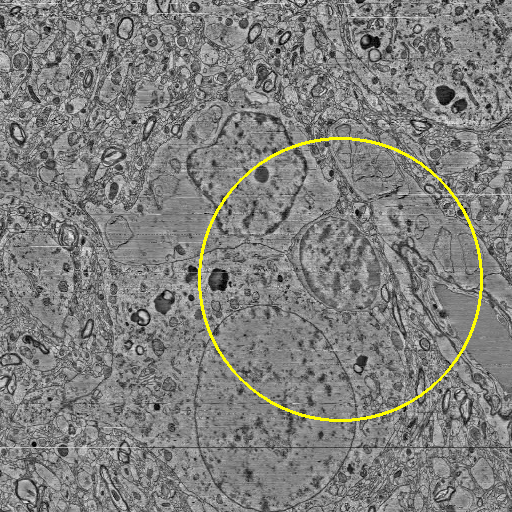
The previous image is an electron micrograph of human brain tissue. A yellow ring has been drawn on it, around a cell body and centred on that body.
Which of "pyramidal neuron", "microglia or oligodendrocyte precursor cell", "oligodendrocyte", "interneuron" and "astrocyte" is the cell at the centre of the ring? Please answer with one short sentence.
The cell body at the centre of the ring belongs to an oligodendrocyte.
